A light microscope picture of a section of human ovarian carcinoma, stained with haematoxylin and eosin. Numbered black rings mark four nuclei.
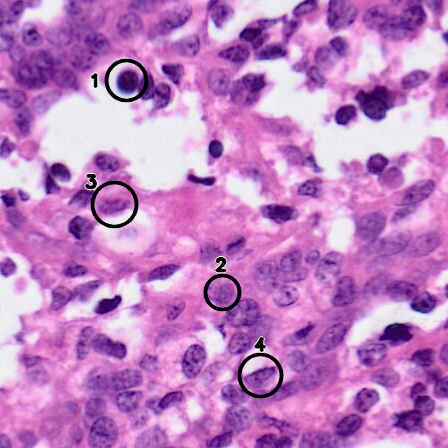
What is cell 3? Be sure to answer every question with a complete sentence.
Cell 3, among those numbered, is a macrophage or monocyte.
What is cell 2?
The identity of cell 2 is that of a carcinoma cell.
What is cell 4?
Here, the cell given the number 4 is a carcinoma cell.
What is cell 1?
The correct answer for cell 1 is a carcinoma cell.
